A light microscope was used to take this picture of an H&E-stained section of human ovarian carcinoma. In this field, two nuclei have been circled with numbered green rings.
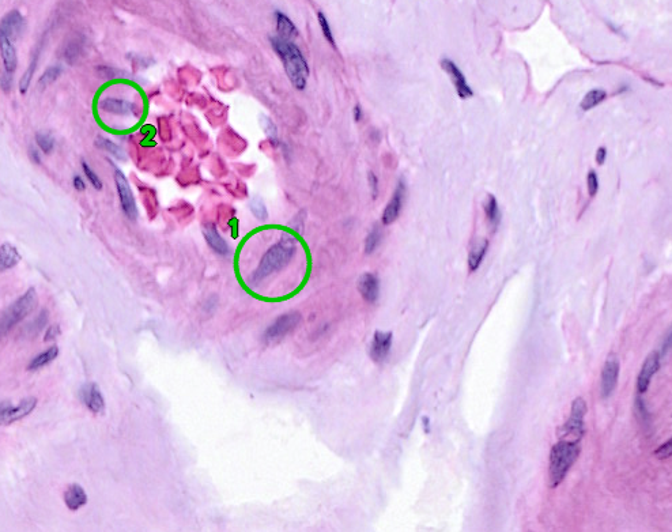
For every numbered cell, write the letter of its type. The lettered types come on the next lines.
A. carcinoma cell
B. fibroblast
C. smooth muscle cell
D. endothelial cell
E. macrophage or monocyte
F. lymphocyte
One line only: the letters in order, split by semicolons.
C; D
